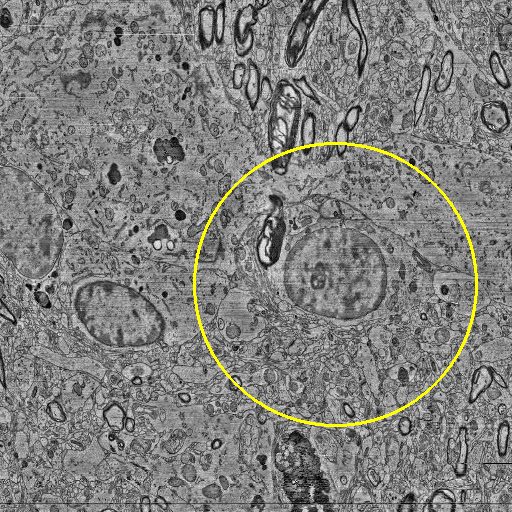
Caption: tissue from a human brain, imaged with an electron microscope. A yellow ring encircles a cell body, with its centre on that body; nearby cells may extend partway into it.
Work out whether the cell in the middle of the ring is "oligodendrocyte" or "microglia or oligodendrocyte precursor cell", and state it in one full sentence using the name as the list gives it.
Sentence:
In the picture, the cell that the yellow ring surrounds at its centre is an oligodendrocyte.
